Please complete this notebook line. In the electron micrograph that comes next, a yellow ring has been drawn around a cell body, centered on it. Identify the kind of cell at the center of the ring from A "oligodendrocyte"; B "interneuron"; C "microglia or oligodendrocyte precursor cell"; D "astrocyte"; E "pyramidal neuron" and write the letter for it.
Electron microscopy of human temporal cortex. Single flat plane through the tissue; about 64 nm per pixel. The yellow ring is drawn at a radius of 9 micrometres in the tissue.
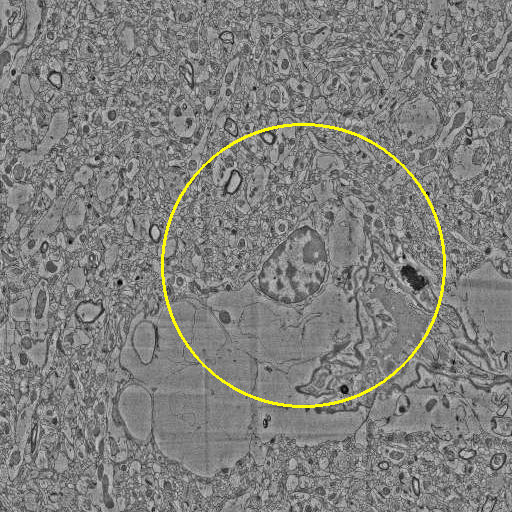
C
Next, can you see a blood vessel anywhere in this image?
Yes, one appears.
